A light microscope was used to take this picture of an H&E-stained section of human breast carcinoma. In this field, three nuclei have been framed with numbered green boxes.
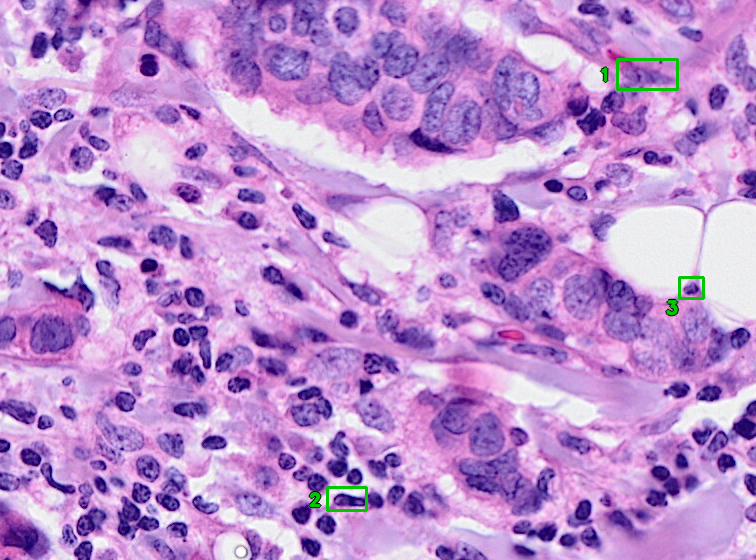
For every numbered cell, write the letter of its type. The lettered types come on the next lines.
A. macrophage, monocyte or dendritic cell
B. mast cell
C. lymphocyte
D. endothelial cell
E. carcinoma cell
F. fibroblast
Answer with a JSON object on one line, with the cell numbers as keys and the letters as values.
{"1": "D", "2": "C", "3": "C"}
